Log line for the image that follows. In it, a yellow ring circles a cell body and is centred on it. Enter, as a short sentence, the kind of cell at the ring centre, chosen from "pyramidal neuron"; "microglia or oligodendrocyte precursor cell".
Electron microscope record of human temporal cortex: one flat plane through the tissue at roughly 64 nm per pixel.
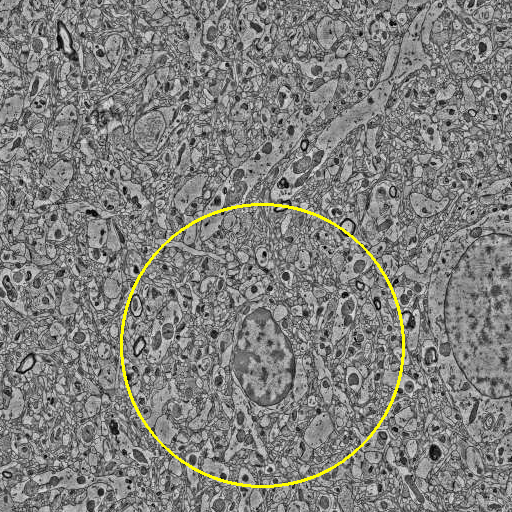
The ring centre is occupied by a microglial cell or oligodendrocyte precursor cell.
